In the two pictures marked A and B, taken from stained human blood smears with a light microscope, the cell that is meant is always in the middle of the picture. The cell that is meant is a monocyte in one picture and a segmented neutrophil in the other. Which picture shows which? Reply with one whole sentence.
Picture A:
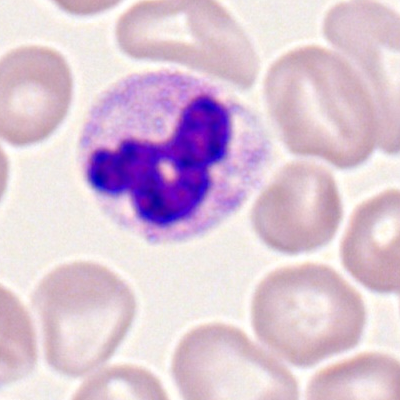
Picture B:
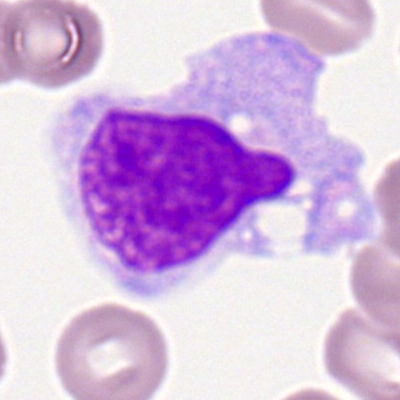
It is picture A that shows a segmented neutrophil, and picture B that shows a monocyte.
